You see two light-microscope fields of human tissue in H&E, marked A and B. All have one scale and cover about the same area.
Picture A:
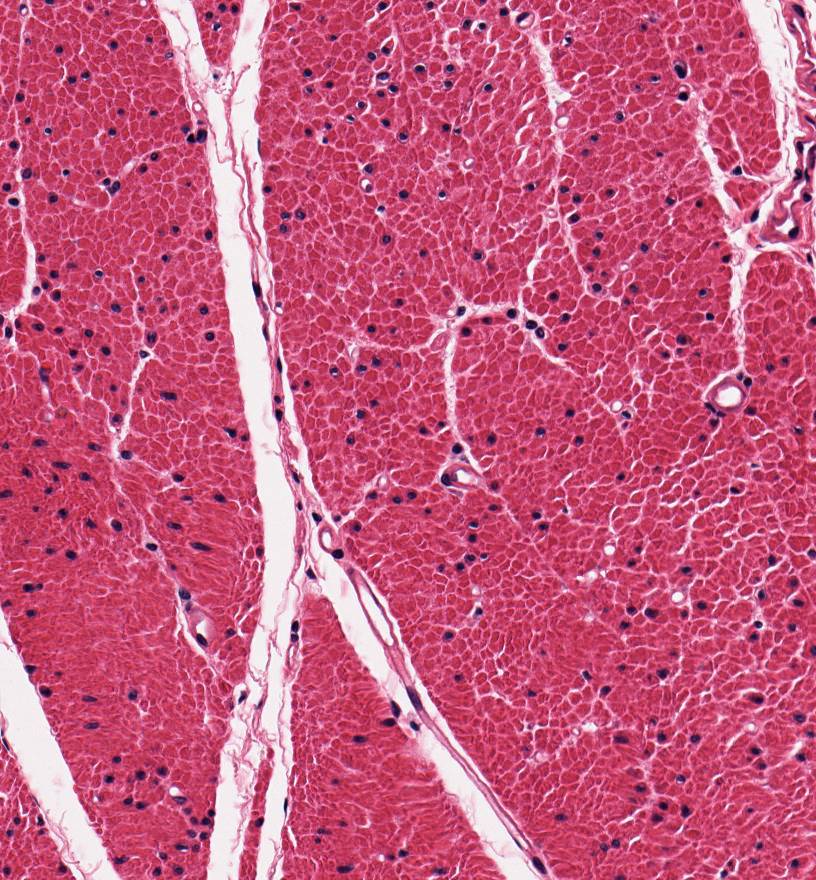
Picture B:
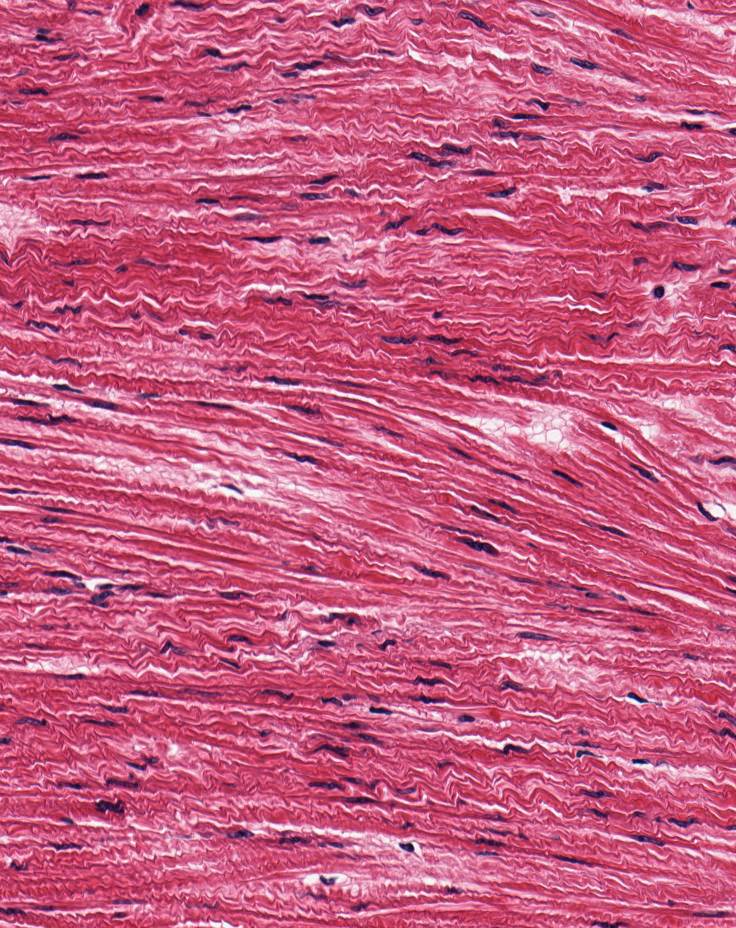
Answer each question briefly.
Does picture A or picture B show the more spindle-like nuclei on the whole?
B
